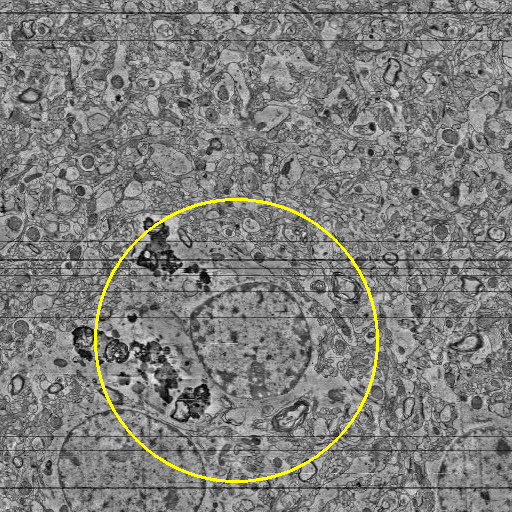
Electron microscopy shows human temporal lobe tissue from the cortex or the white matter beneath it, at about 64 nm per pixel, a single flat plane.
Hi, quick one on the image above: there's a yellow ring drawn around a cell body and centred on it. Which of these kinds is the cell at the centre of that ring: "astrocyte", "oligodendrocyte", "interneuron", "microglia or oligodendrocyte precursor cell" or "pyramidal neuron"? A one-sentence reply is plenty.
The cell at the centre of the ring is an astrocyte.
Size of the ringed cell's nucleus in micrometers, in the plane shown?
Roughly 8 micrometres across, measured in this plane.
